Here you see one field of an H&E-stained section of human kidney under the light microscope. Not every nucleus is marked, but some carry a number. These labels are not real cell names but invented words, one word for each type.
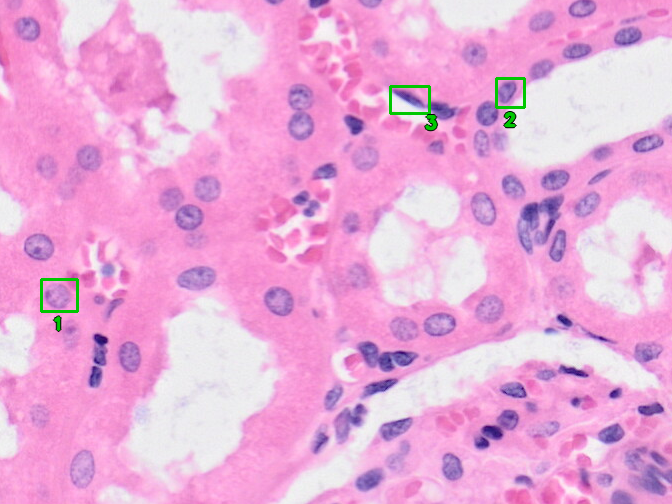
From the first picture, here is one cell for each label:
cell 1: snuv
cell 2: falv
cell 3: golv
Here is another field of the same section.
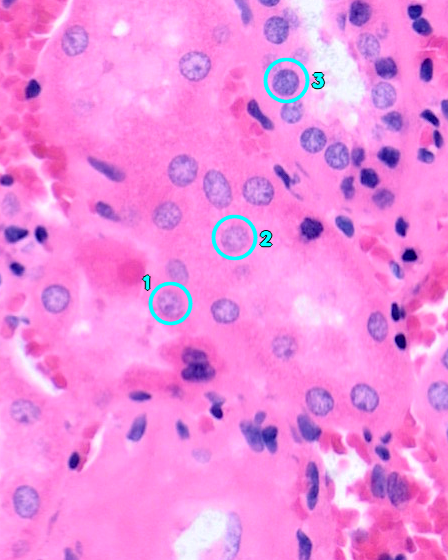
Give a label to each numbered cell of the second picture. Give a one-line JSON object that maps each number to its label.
{"1": "snuv", "2": "snuv", "3": "falv"}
